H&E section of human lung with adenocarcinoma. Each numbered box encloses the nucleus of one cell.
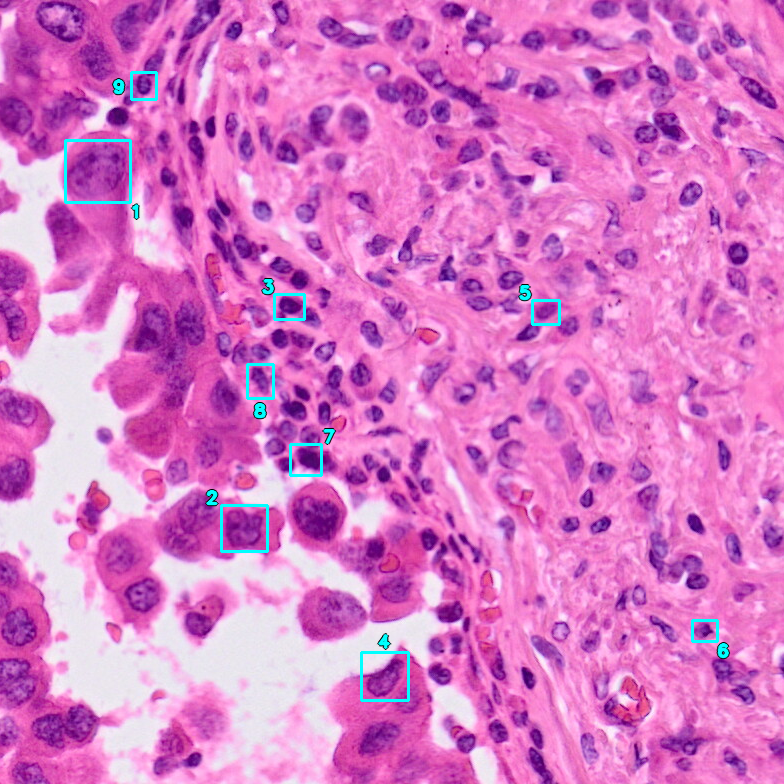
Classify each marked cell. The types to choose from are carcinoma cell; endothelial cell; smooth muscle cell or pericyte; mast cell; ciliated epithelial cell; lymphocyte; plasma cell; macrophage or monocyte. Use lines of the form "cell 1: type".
cell 1: carcinoma cell
cell 2: carcinoma cell
cell 3: plasma cell
cell 4: carcinoma cell
cell 5: plasma cell
cell 6: plasma cell
cell 7: lymphocyte
cell 8: lymphocyte
cell 9: lymphocyte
